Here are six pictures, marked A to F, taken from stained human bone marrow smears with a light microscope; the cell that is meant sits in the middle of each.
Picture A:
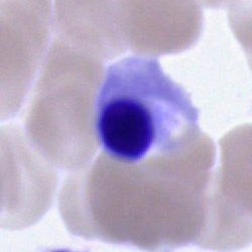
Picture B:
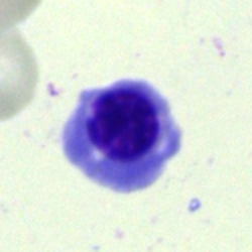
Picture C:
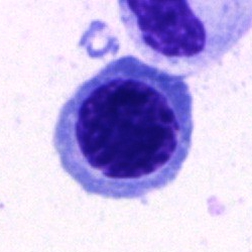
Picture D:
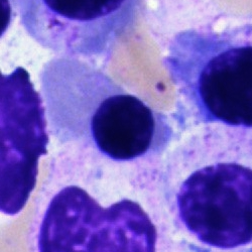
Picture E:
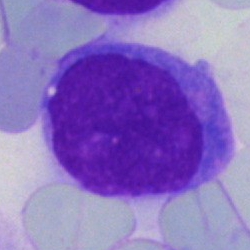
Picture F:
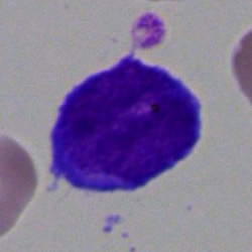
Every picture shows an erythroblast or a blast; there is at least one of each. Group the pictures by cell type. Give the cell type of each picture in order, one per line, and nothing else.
erythroblast
erythroblast
erythroblast
erythroblast
blast
blast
